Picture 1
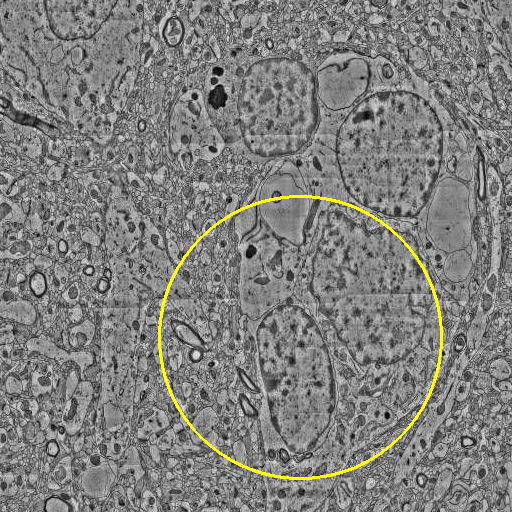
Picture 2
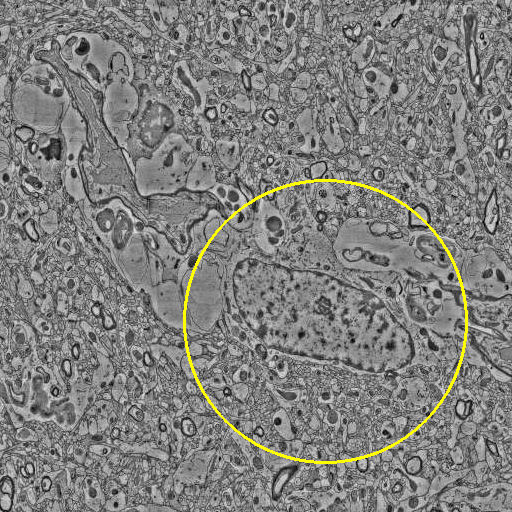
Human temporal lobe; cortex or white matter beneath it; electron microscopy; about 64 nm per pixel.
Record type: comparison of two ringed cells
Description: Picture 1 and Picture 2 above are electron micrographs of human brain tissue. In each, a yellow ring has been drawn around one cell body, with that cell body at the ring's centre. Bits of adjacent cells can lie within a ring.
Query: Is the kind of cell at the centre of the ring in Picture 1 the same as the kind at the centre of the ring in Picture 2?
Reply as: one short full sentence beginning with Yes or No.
Yes, the two ringed cells are of the same kind.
